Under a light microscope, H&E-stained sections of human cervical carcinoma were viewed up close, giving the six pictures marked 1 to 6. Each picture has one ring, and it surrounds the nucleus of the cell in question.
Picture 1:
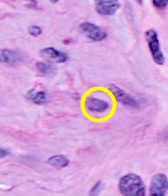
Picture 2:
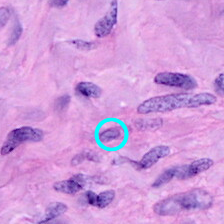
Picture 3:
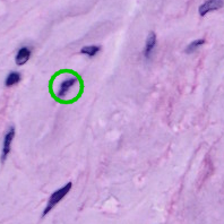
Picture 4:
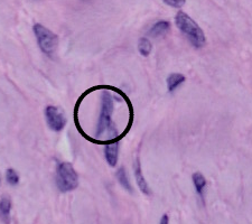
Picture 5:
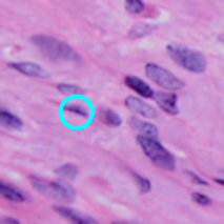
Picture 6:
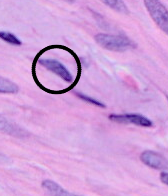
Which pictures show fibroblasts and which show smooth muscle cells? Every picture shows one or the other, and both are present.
1: smooth muscle cell
2: smooth muscle cell
3: fibroblast
4: fibroblast
5: fibroblast
6: fibroblast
